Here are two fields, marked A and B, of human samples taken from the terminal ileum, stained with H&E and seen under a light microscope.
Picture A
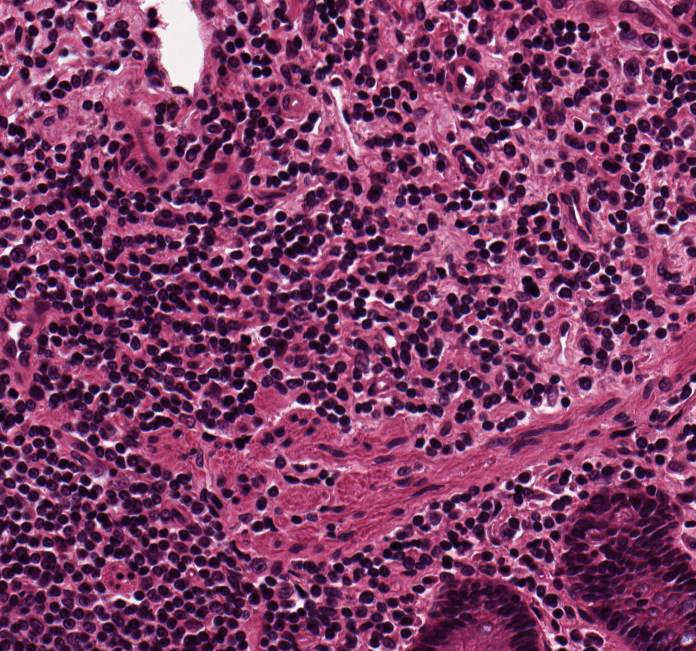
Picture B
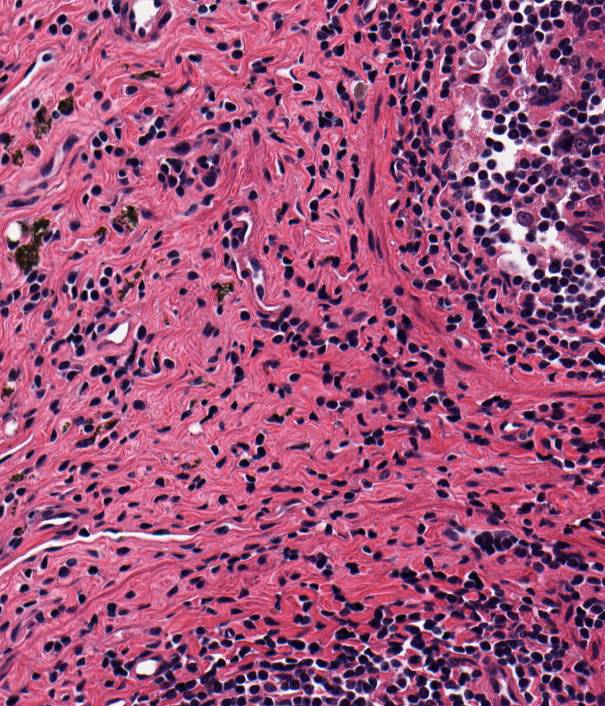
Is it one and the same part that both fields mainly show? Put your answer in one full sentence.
No: picture A mainly shows lymphoid tissue, but picture B mainly shows dense connective tissue.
